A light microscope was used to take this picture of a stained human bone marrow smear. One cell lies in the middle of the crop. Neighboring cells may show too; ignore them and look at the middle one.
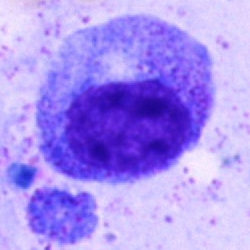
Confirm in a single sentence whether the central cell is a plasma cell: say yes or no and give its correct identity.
No, sorry, the middle cell is a promyelocyte rather than a plasma cell.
